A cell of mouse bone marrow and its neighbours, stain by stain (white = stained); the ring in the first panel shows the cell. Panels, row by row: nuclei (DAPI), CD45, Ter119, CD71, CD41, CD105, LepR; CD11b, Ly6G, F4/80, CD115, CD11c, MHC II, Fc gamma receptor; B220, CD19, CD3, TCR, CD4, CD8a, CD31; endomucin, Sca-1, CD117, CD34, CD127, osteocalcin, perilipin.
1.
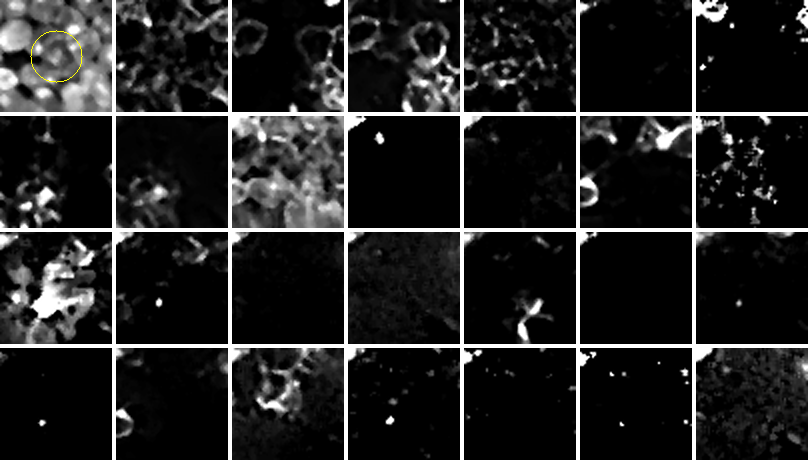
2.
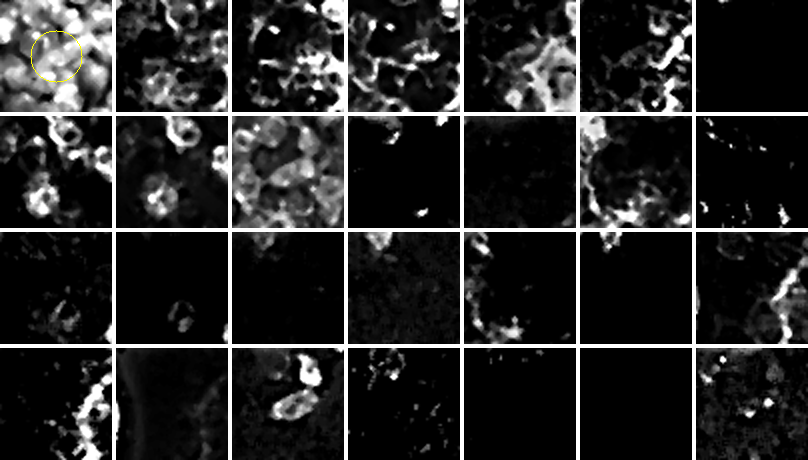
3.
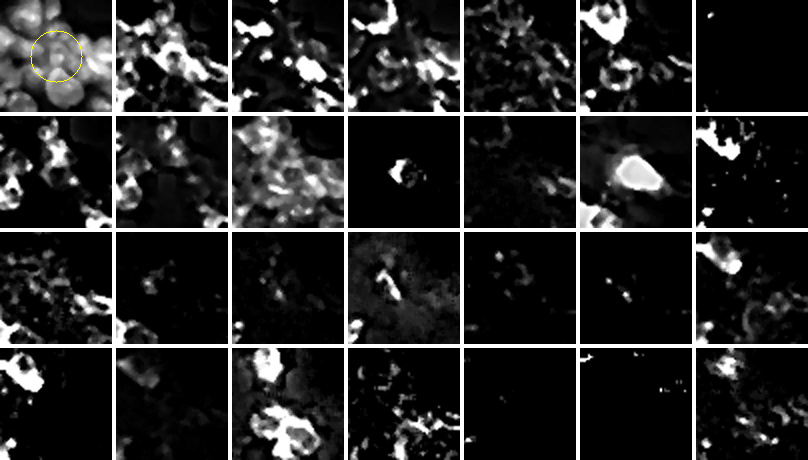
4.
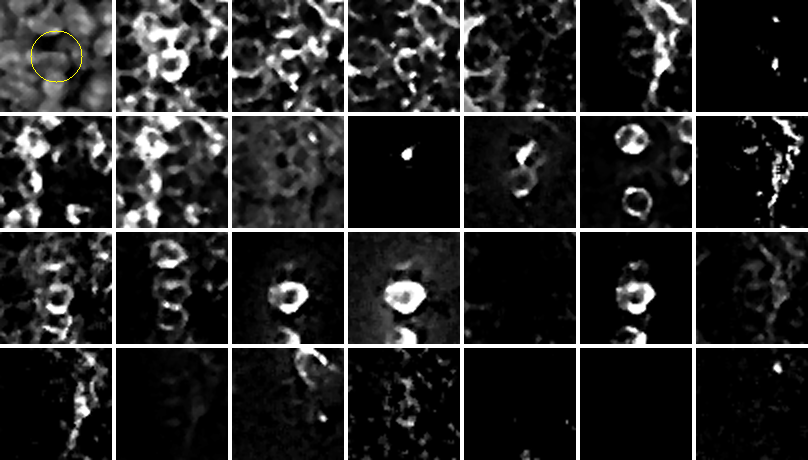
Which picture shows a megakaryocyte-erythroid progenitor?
Picture 1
